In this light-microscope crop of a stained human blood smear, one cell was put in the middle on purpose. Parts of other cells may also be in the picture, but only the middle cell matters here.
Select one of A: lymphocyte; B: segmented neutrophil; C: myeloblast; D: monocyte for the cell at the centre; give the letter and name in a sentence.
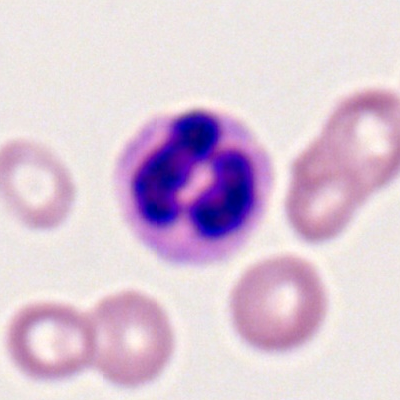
Option B stands as correct, the central cell being a segmented neutrophil.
